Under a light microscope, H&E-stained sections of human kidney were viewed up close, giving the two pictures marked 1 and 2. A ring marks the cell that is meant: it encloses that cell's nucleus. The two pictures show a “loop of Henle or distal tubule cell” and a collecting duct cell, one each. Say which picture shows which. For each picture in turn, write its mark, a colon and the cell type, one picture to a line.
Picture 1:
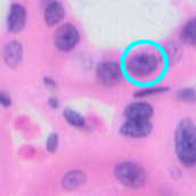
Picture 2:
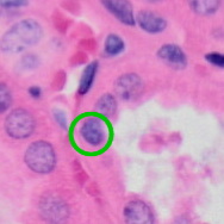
1: collecting duct cell
2: loop of Henle or distal tubule cell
